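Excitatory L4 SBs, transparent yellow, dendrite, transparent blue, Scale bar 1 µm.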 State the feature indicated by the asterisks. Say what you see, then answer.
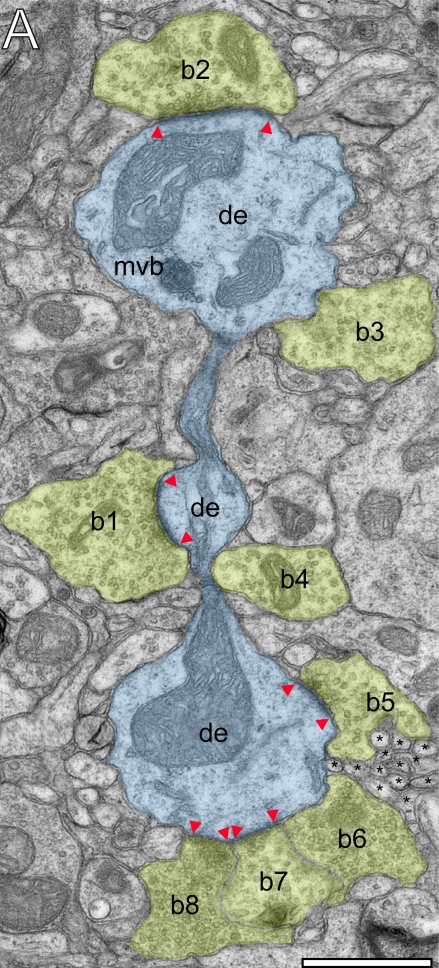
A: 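Unmyelinated axons. A group of small, round, closely packed profiles without a dark myelin sheath lies between two yellow boutons at lower right. Each small profile has a thin membrane and pale content.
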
